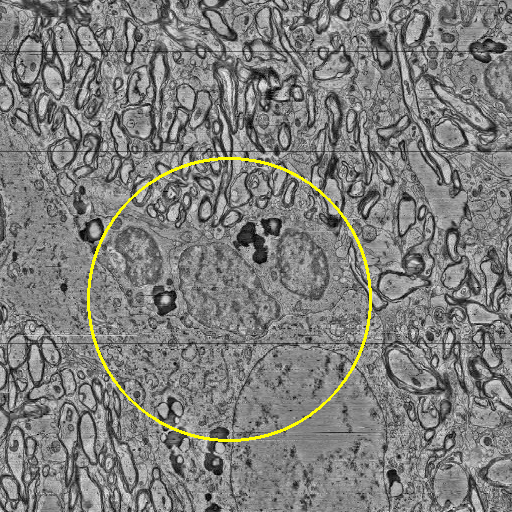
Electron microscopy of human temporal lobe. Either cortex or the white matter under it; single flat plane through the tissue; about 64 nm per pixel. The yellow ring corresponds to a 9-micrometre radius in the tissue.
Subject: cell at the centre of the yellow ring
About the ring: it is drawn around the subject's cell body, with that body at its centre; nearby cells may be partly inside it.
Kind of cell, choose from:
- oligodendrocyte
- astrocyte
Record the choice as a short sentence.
The subject cell is an oligodendrocyte.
